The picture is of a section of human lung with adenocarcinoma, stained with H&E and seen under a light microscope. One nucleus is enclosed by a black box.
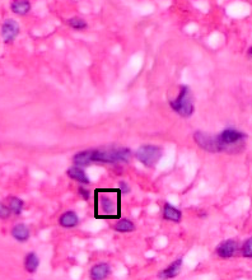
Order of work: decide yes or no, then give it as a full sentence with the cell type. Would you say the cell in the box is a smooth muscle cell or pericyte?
Yes, it is the case that the cell in the box is a smooth muscle cell or pericyte.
